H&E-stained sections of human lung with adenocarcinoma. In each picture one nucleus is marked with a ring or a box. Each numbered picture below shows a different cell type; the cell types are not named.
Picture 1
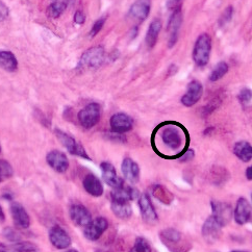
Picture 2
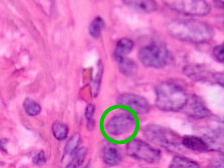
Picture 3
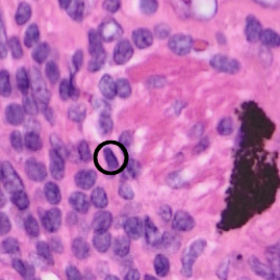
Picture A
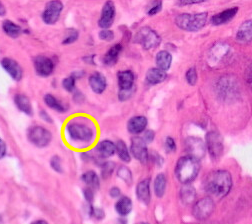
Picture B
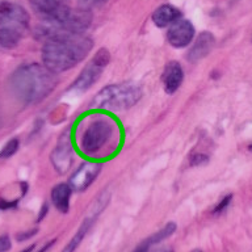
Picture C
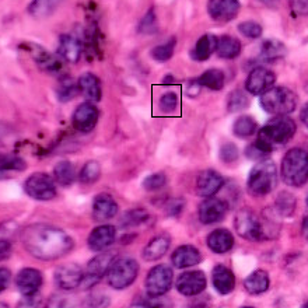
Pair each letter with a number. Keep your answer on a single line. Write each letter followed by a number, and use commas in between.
A 3, B 1, C 3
